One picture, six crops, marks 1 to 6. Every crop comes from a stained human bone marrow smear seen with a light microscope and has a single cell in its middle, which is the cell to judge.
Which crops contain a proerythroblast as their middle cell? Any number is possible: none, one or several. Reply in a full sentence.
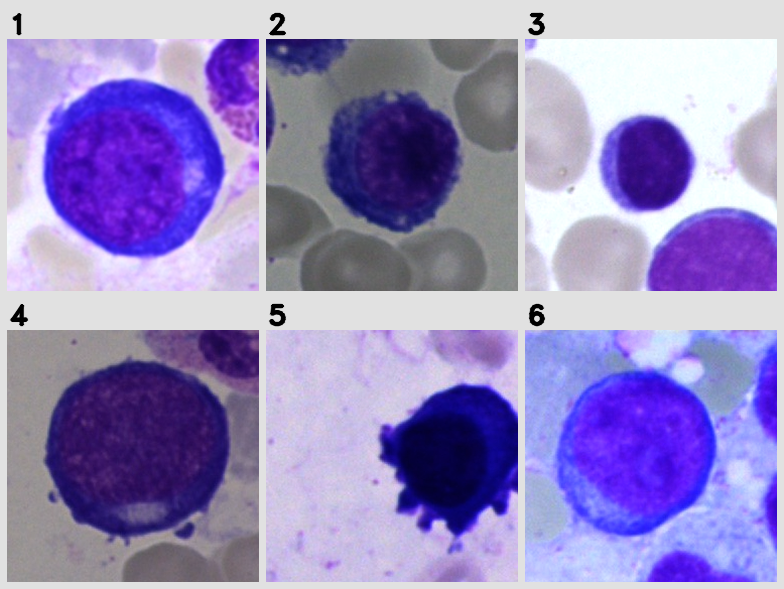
The crops identified as showing proerythroblasts are 1, 2, 4 and 6.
